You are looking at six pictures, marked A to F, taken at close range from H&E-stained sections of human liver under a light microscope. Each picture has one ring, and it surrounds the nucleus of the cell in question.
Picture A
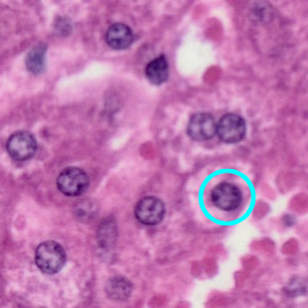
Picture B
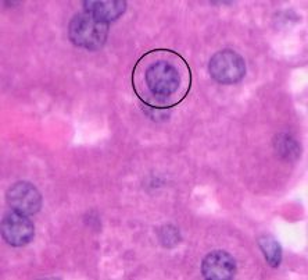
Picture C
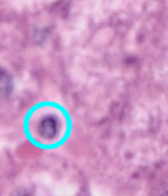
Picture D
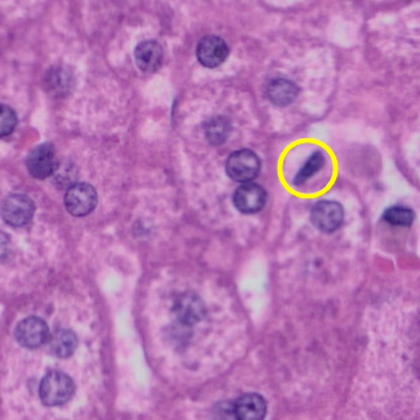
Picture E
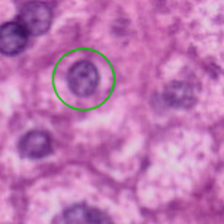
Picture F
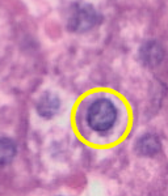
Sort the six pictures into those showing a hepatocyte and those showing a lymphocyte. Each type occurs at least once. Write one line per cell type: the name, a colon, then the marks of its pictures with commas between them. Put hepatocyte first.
hepatocyte: A, B, E, F
lymphocyte: C, D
